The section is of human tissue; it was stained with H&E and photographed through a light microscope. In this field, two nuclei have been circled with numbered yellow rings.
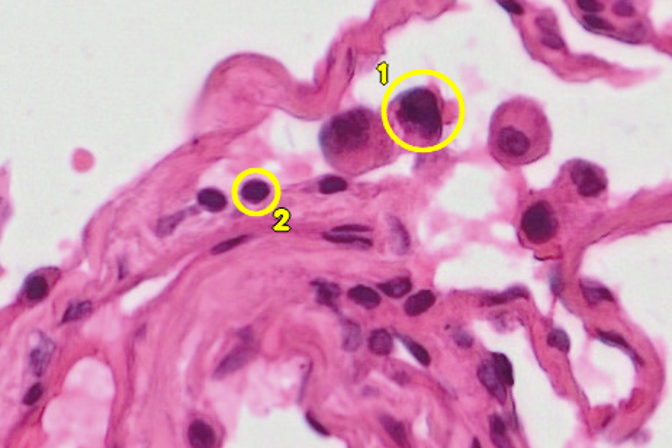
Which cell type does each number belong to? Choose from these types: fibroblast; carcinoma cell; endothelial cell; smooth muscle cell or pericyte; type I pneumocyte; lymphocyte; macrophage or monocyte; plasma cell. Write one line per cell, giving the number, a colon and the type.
1: carcinoma cell
2: lymphocyte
